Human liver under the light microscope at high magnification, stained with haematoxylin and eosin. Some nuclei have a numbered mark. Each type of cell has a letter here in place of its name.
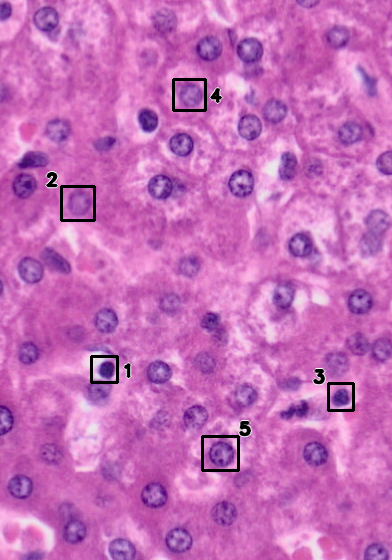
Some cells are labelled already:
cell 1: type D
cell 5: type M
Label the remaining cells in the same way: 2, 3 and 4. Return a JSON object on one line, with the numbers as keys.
{"2": "type M", "3": "type D", "4": "type M"}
